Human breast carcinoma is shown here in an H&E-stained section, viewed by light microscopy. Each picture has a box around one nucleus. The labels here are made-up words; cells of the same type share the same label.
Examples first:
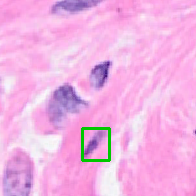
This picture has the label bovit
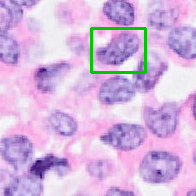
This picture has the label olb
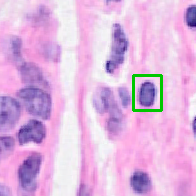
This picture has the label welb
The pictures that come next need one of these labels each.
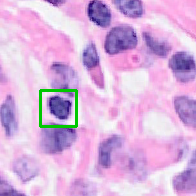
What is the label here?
welb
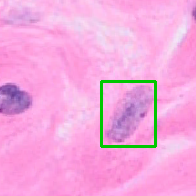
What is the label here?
bovit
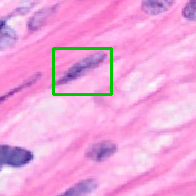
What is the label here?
bovit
